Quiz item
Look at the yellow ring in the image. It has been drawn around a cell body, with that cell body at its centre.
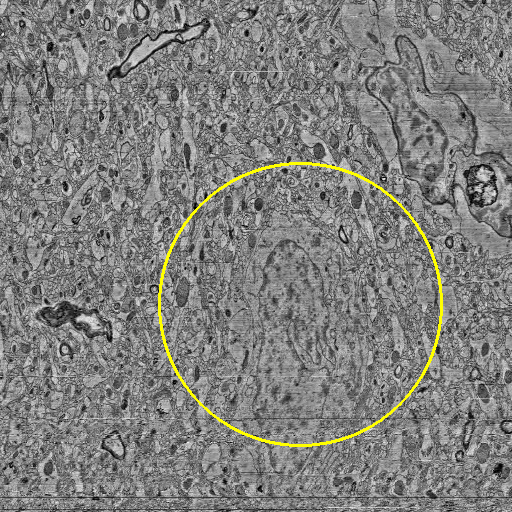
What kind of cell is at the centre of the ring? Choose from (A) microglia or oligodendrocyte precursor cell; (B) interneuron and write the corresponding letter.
B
